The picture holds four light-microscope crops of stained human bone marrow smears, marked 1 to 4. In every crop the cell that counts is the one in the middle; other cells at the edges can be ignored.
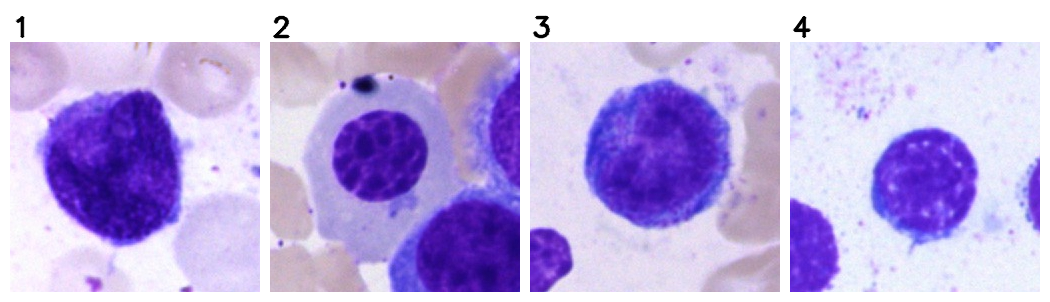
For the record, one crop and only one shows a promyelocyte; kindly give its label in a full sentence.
The one that shows a promyelocyte is crop 3.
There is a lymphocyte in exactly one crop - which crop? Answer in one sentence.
Among the crops given, only crop 4 shows a lymphocyte.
